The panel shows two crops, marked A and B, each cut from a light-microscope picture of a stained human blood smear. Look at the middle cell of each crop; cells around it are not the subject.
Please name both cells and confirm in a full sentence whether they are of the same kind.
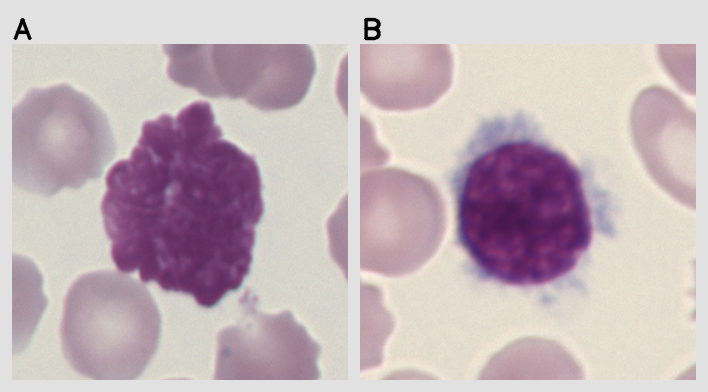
No, the cells are a smudge cell in crop A and a hairy cell in crop B.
